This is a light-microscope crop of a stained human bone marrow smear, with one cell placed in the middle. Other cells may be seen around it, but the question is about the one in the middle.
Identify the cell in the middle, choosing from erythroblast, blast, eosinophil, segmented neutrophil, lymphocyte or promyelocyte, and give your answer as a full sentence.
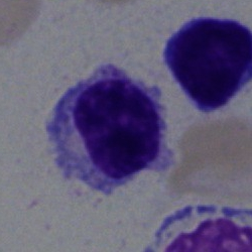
In the central position of this crop, the cell is a lymphocyte.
